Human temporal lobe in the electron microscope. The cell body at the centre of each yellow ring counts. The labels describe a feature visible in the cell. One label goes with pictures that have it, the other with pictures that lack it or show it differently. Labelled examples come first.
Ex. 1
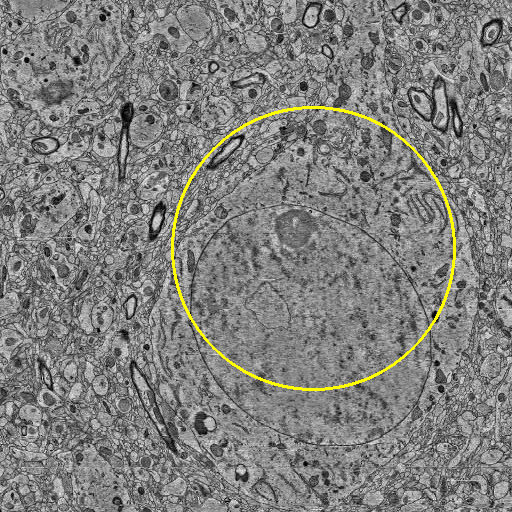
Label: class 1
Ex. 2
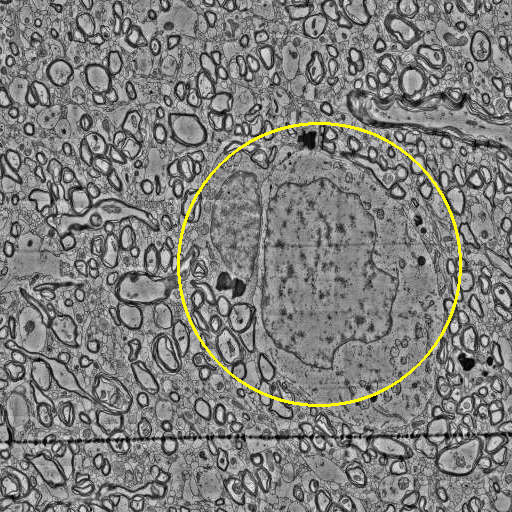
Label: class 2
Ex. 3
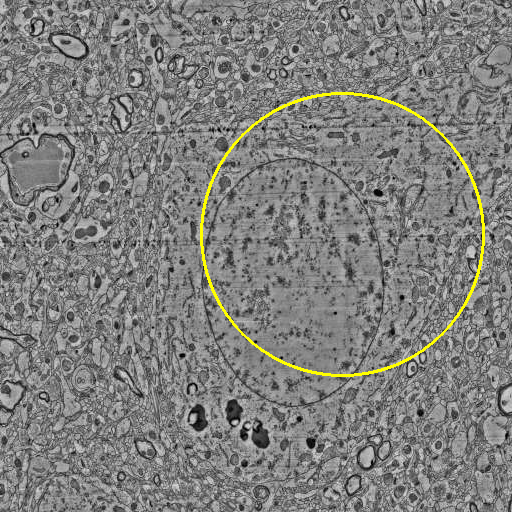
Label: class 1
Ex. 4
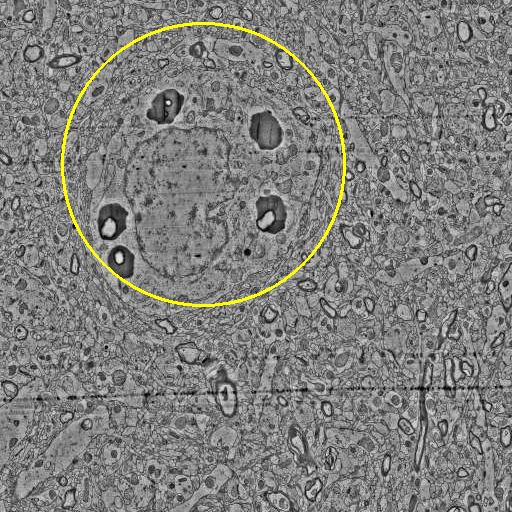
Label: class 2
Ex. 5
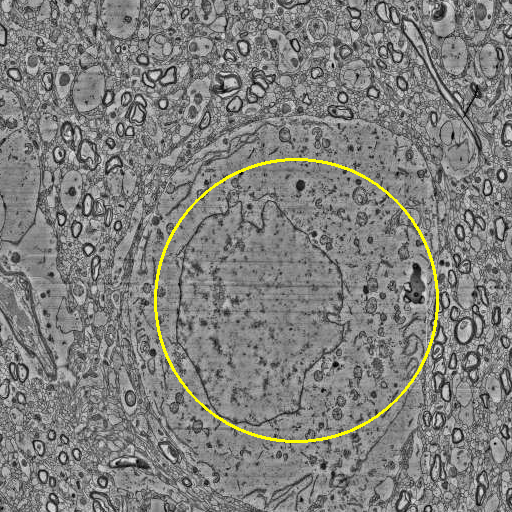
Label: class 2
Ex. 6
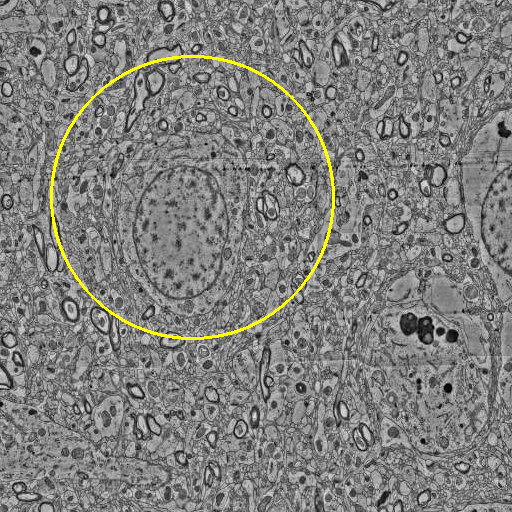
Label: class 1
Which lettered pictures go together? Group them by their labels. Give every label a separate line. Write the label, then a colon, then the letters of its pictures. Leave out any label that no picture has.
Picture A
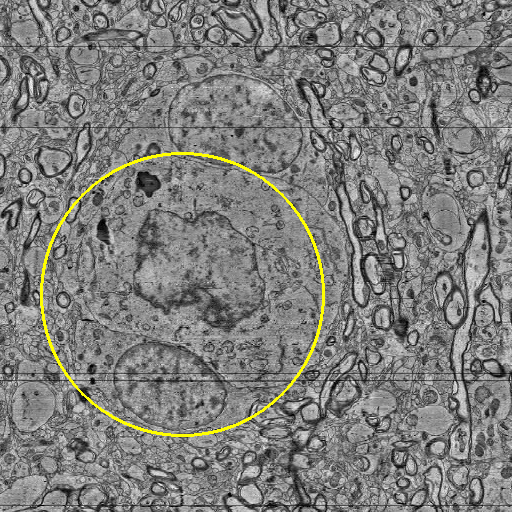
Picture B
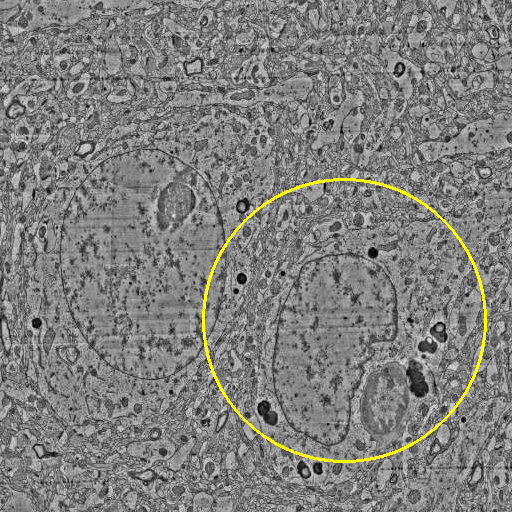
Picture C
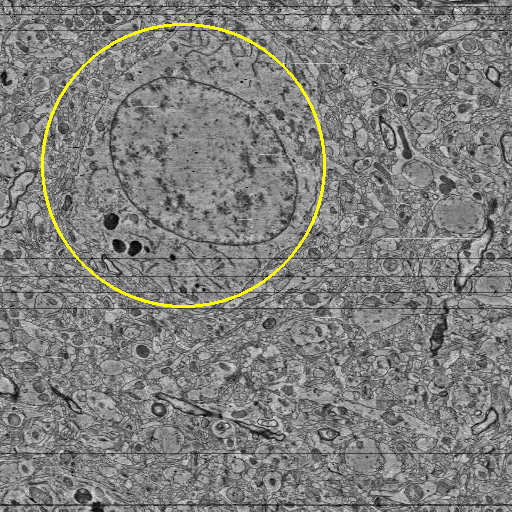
class 1: C
class 2: A, B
